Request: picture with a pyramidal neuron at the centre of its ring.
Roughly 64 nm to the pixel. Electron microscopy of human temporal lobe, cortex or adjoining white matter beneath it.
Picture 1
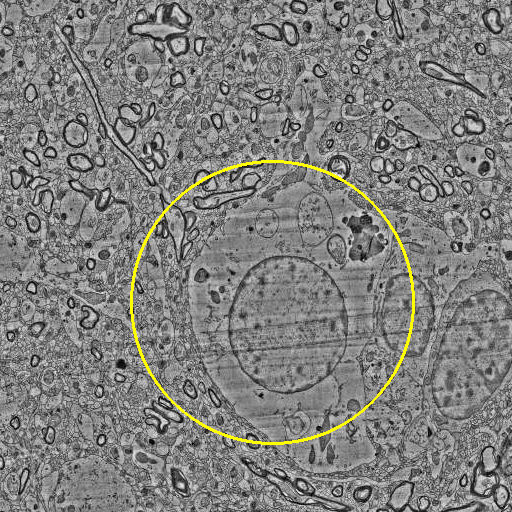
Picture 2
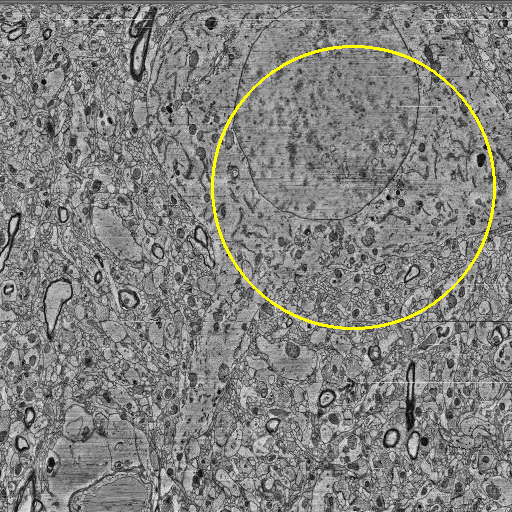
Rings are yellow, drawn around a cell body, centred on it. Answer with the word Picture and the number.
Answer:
Picture 2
